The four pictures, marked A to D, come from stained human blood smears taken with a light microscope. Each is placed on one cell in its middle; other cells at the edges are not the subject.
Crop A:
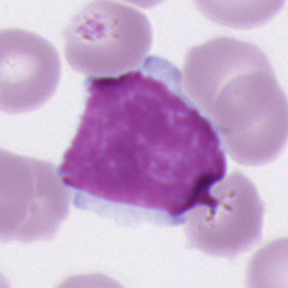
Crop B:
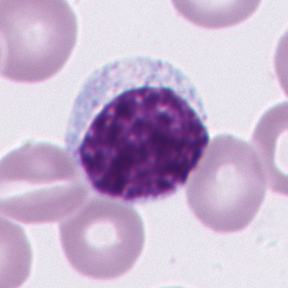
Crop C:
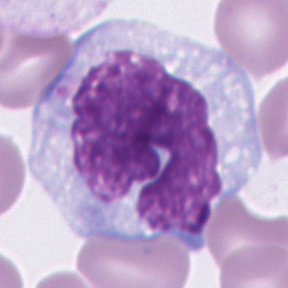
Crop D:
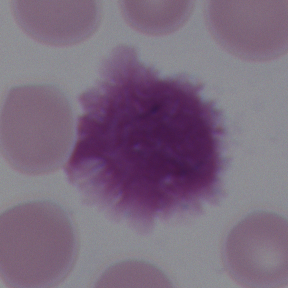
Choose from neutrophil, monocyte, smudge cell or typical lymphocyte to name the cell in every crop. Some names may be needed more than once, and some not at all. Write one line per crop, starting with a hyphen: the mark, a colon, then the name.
- A: typical lymphocyte
- B: typical lymphocyte
- C: monocyte
- D: smudge cell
